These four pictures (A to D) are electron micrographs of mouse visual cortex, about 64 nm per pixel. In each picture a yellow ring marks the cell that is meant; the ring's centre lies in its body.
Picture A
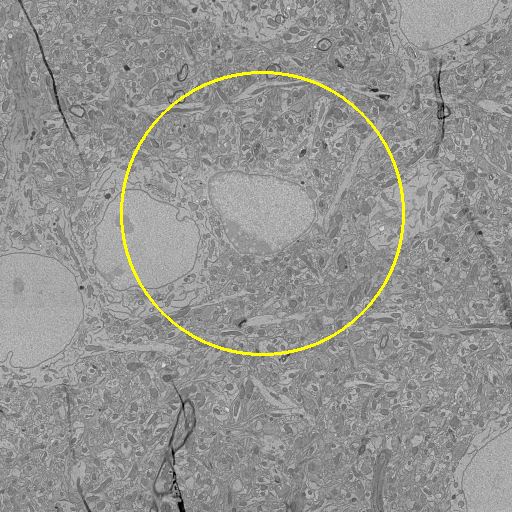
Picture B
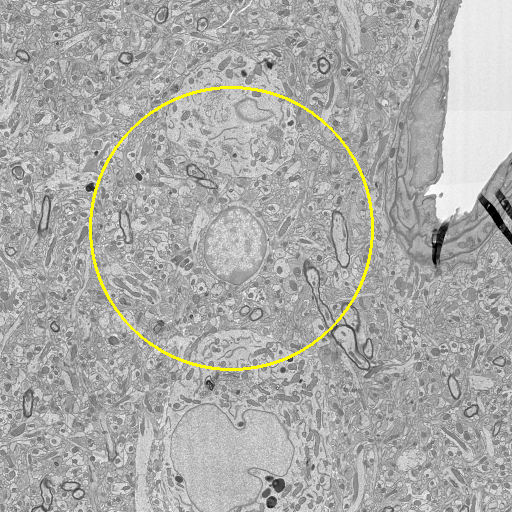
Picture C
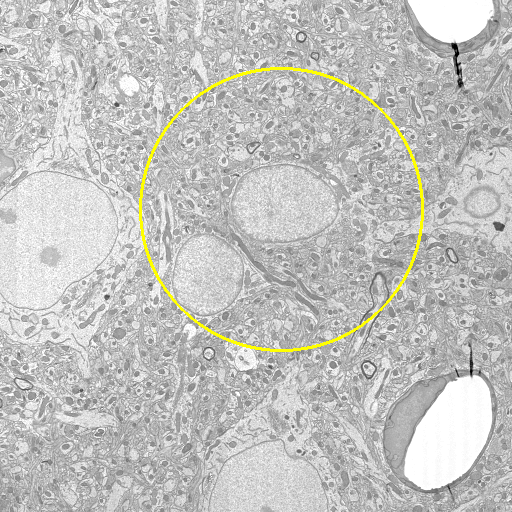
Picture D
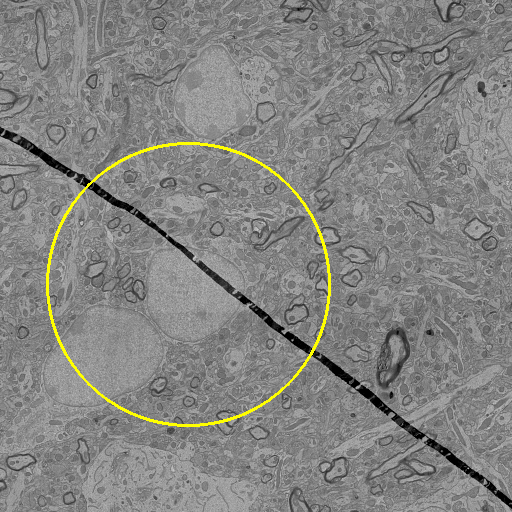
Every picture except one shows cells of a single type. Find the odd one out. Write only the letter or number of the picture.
B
